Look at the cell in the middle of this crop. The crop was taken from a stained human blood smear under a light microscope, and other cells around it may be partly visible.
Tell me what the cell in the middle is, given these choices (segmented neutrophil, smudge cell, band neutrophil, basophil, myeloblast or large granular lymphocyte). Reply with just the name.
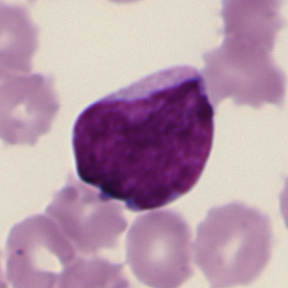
myeloblast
